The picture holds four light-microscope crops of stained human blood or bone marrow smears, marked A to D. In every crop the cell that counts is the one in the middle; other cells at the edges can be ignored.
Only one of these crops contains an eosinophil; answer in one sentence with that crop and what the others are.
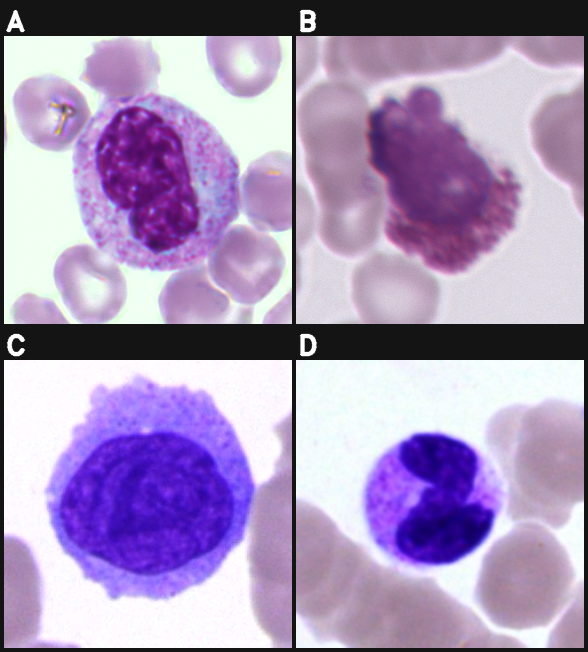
Sorting them out, crop B is an eosinophil, while crop A is a metamyelocyte, crop C is a monocyte and crop D is a segmented neutrophil.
